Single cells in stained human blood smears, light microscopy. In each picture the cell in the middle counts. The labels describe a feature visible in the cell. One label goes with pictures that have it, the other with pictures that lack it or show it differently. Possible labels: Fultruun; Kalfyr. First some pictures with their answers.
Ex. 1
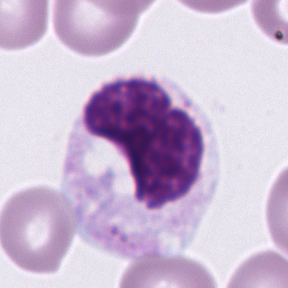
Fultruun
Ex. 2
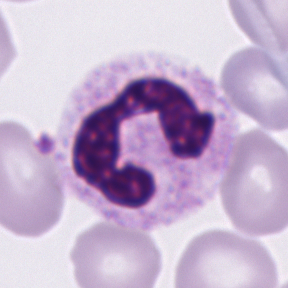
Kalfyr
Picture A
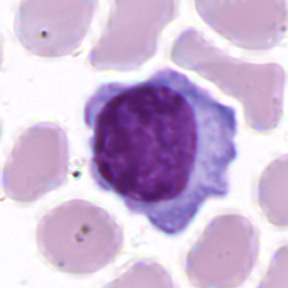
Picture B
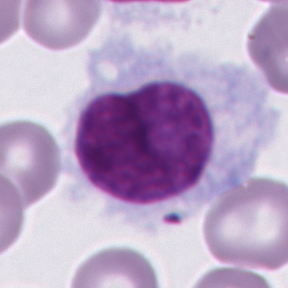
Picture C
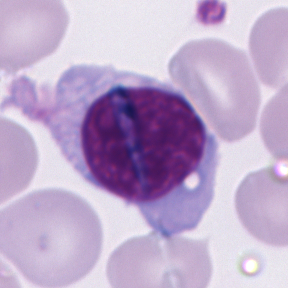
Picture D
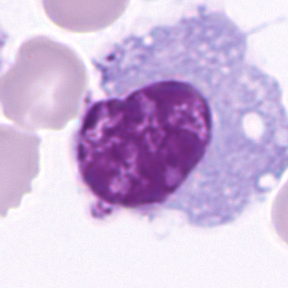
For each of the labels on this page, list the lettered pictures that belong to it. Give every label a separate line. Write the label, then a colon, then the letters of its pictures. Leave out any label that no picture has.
Fultruun: B, C, D
Kalfyr: A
